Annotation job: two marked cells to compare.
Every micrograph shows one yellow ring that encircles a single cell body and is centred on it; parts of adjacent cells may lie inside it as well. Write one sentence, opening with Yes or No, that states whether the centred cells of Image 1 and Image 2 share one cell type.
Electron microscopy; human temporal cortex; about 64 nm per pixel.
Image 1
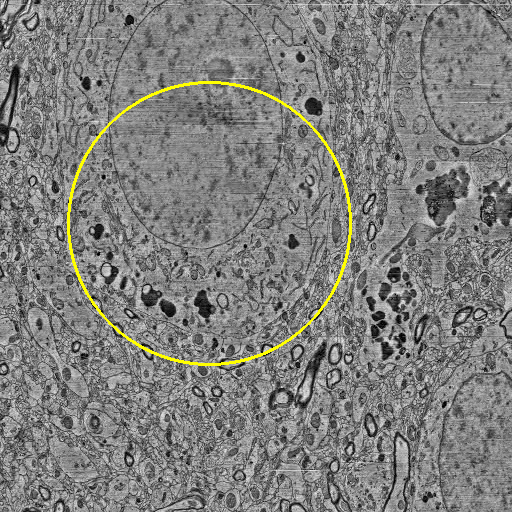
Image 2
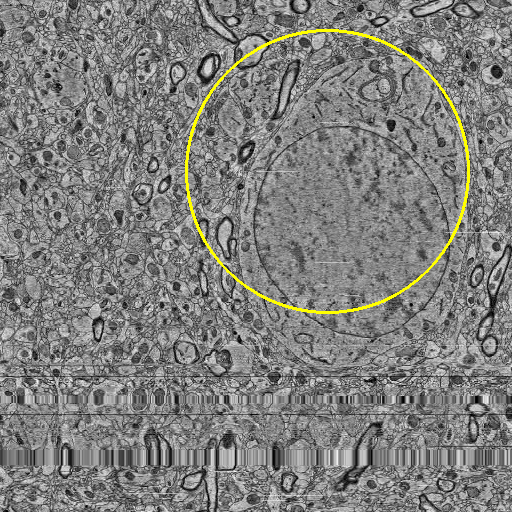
Yes, the cell centred in Image 1 shares its type with the cell centred in Image 2.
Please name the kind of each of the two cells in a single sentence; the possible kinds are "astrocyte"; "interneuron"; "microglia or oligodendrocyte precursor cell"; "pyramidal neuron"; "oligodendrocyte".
Each one of the two ringed cells is a pyramidal neuron.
